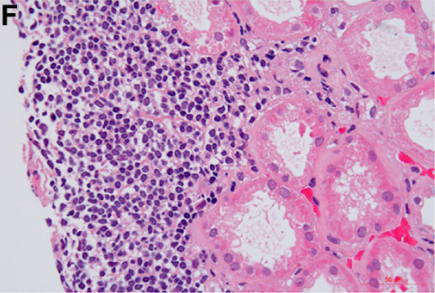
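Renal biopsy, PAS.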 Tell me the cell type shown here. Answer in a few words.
medium-sized lymphoid cells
